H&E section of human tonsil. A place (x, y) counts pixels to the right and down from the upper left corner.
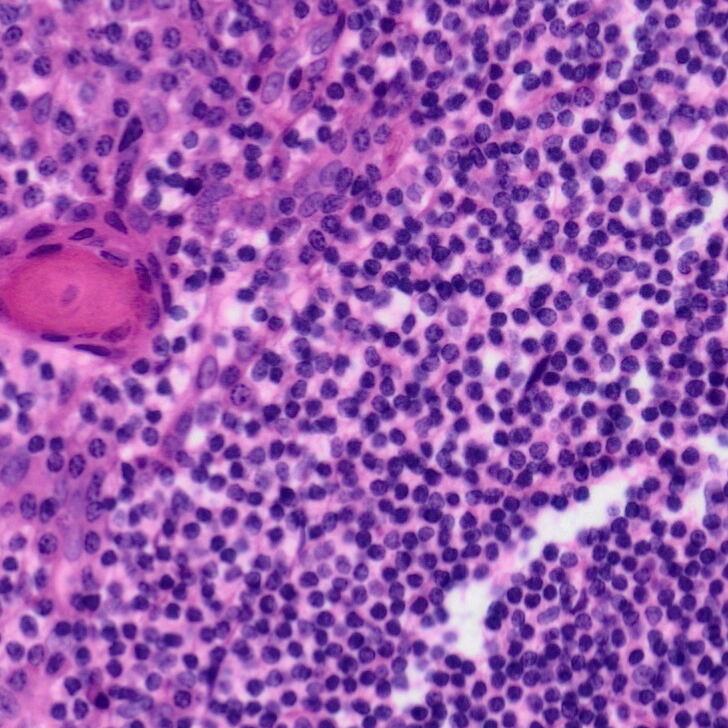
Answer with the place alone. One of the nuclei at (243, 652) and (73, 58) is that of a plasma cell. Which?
(73, 58)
